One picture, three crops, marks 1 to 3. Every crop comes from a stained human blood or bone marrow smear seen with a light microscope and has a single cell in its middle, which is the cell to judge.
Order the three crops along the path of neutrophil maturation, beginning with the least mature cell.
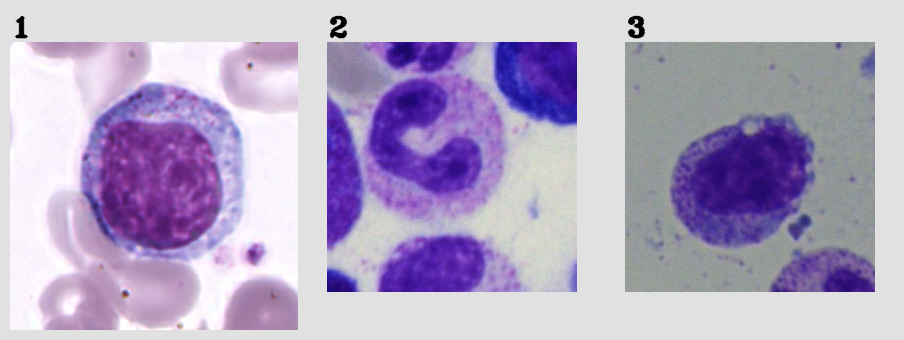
1, 3, 2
